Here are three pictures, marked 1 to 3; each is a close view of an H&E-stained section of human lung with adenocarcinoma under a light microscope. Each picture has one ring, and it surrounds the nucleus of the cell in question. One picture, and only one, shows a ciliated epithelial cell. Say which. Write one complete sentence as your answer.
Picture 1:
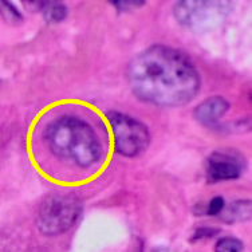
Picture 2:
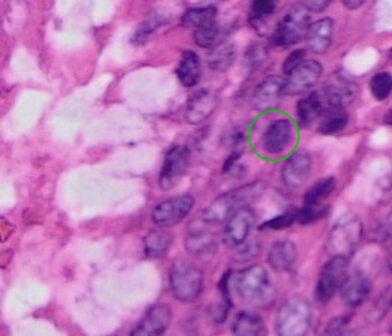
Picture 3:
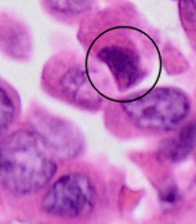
The ciliated epithelial cell is the one in picture 2.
